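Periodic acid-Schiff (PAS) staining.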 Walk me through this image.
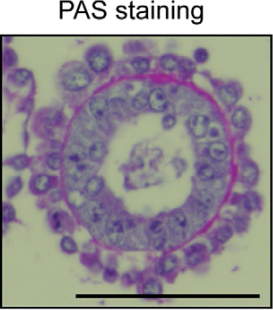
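Inside the ring lie one to two layers of cells with round purple nuclei and visible nucleoli. Outside the ring more cells with similar round nuclei gather around it. The overall arrangement, a stained ring with cell layers around a central space, resembles a follicle, but no single large central cell with intact cytoplasm is present.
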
